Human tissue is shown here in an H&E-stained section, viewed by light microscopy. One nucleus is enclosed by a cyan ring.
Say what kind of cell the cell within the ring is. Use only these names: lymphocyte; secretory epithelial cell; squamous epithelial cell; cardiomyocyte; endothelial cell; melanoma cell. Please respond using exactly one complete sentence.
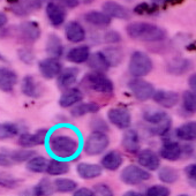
Placed in its cell category, the cell within the ring is a lymphocyte.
